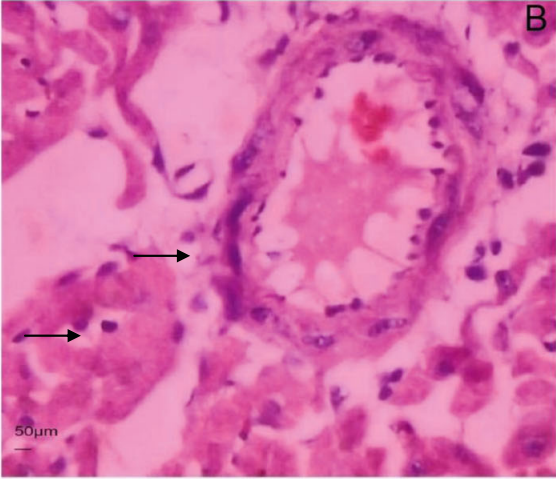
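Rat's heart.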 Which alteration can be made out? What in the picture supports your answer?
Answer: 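Splitting of muscle bundles. Wide pale spaces separate groups of muscle cells. The muscle tissue is broken into irregular fragments.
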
